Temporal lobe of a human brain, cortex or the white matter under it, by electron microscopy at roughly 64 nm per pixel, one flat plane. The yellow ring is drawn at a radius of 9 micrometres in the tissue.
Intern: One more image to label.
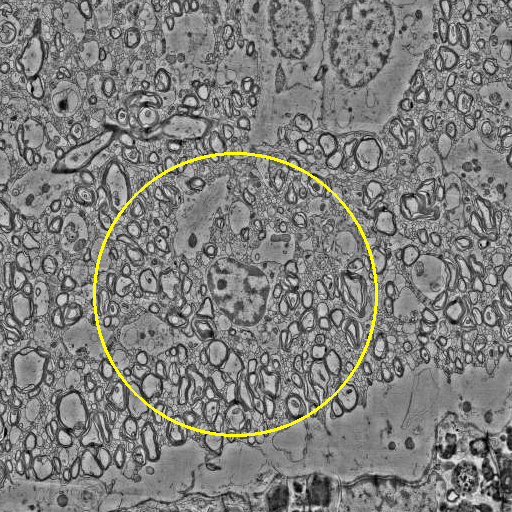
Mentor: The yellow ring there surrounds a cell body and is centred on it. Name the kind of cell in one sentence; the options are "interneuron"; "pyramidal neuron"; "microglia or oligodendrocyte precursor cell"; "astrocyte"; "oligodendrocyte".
The ring marks the cell body of a microglial cell or oligodendrocyte precursor cell.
